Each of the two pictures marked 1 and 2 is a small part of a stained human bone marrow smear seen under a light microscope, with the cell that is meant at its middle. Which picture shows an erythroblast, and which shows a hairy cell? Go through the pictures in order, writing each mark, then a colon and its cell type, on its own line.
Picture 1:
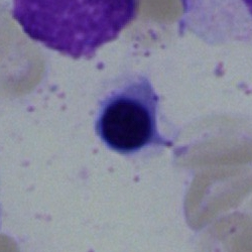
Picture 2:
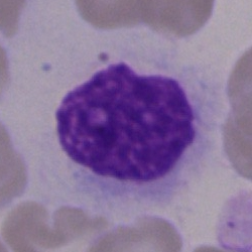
1: erythroblast
2: hairy cell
